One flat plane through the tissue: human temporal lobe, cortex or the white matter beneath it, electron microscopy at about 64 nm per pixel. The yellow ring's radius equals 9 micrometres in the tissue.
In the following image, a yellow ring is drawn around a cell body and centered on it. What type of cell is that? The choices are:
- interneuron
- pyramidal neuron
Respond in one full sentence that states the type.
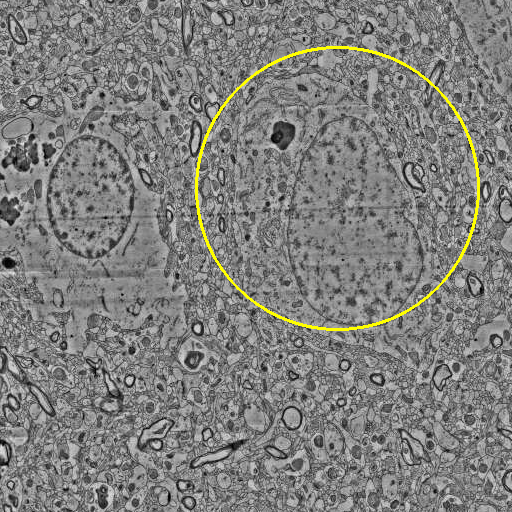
The cell at the center of the yellow ring in the image is an interneuron.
